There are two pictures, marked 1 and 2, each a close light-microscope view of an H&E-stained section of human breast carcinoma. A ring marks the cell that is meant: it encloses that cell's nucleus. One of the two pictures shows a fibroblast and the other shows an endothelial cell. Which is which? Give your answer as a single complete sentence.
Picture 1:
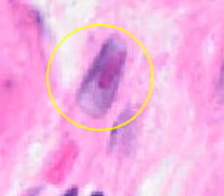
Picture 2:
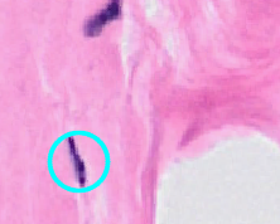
The cell in picture 1 is an endothelial cell, and the one in picture 2 is a fibroblast.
